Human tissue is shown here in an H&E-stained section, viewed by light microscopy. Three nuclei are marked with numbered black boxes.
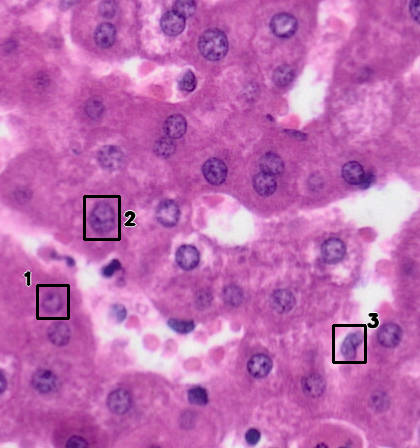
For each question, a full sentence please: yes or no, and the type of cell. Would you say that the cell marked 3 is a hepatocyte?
No, cell 3 should be classed as a Kupffer cell, not as a hepatocyte.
